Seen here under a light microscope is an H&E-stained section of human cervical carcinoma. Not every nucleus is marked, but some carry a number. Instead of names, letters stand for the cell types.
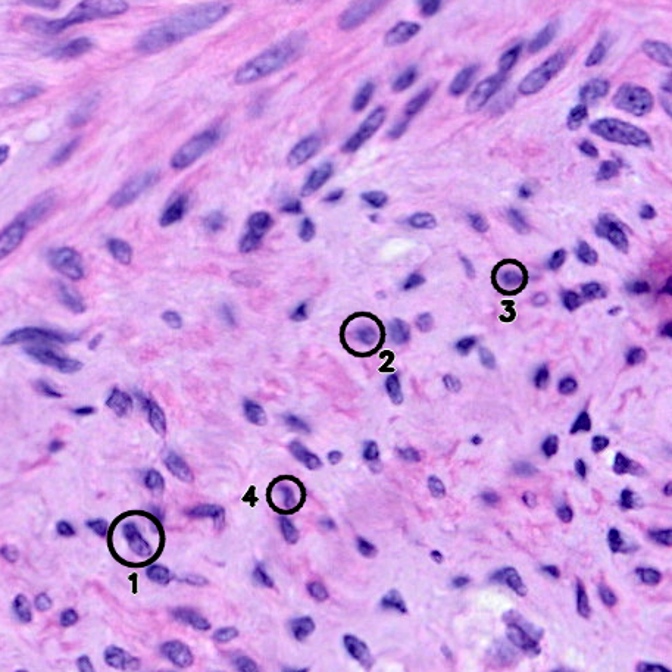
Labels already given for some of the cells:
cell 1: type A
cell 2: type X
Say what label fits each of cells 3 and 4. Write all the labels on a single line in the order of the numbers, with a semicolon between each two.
type X; type X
